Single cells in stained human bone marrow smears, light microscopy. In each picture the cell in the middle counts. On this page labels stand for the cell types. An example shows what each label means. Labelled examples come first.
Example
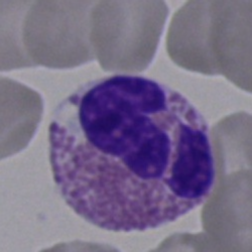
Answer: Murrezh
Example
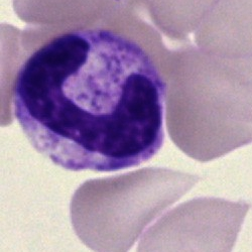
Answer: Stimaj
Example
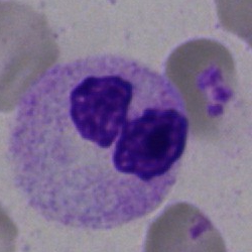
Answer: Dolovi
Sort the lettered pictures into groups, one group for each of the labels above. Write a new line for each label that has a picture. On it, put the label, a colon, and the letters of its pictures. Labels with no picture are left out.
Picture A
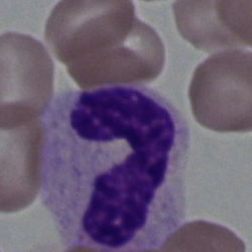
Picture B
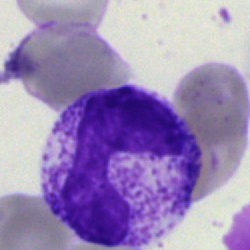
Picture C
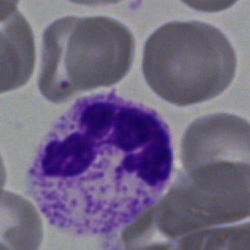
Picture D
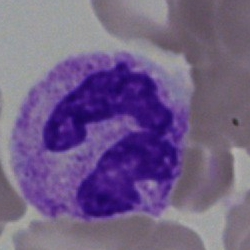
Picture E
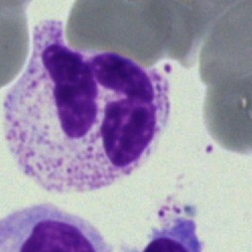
Stimaj: A, B
Dolovi: C, D, E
